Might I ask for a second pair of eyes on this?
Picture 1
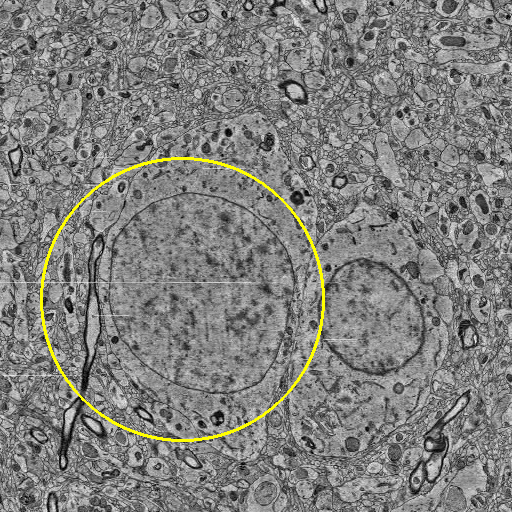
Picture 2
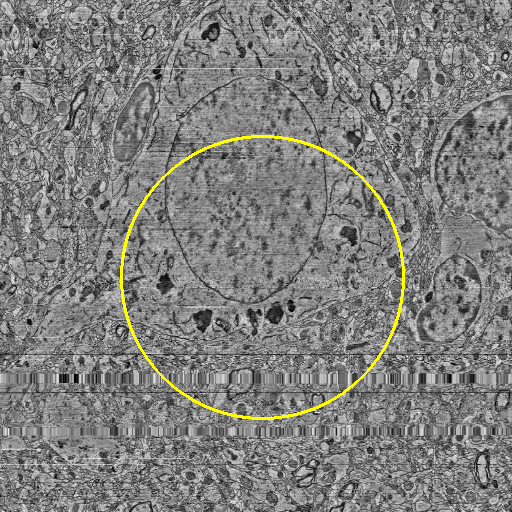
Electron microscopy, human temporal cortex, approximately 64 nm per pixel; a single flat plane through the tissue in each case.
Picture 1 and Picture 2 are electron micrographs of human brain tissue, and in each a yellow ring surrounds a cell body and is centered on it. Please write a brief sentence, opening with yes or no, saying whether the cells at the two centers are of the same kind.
Yes, the cells are of the same kind.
